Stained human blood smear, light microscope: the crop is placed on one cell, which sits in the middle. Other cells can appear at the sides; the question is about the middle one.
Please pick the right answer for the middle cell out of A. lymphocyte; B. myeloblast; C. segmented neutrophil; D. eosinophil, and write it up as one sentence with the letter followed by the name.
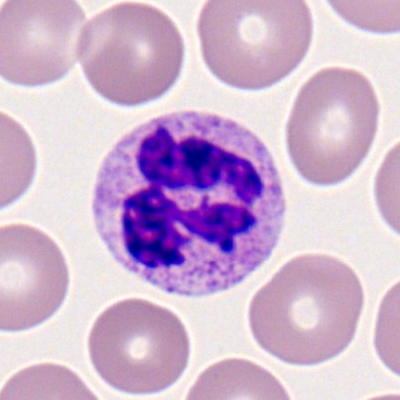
In this crop the middle cell is a segmented neutrophil, so option C is the correct answer.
